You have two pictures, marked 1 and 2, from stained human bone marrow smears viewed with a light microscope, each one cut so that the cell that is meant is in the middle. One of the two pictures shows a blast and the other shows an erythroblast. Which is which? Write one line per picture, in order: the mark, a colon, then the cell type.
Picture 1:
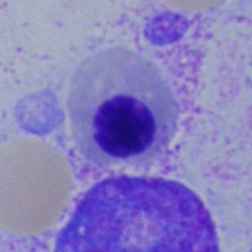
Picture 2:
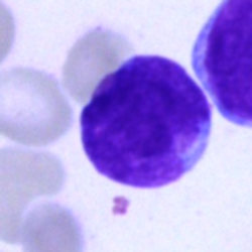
1: erythroblast
2: blast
